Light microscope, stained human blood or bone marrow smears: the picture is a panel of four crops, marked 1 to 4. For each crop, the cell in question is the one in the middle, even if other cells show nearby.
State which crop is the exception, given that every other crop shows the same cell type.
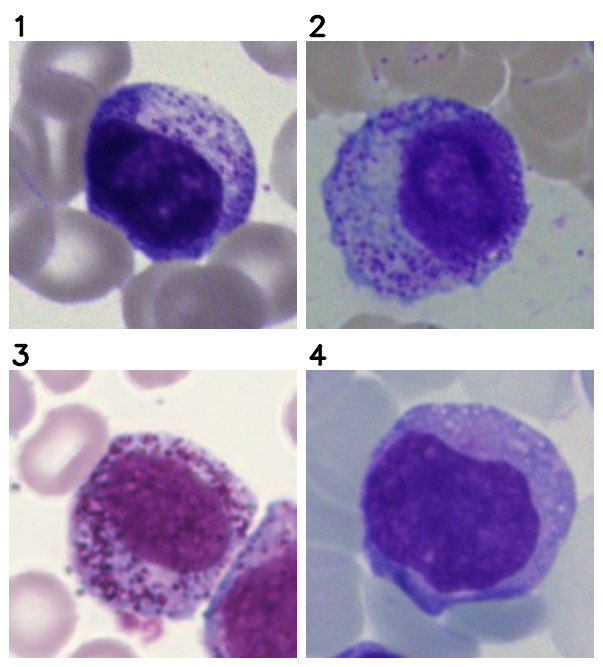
4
